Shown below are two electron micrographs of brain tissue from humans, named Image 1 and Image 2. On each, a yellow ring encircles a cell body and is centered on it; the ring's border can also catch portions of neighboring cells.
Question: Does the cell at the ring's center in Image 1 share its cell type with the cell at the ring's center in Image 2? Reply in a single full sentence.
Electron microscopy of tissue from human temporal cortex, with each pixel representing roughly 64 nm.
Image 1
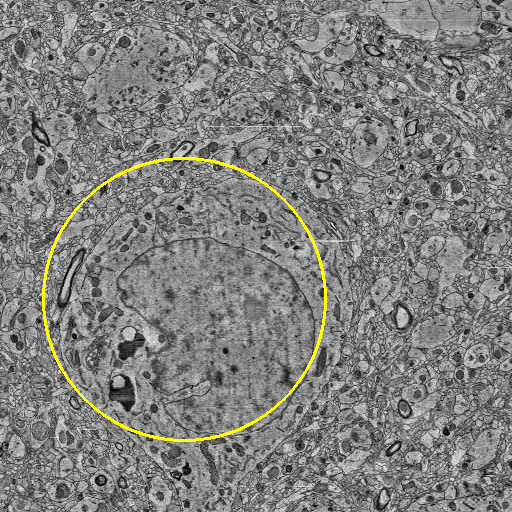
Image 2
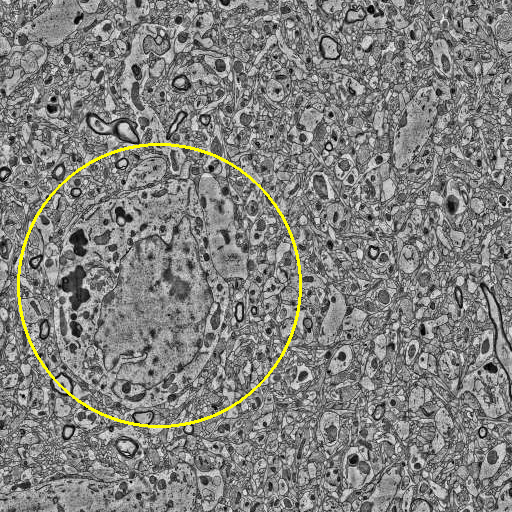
Yes, the two cells at the ring centers, in Image 1 and Image 2, share one cell type.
